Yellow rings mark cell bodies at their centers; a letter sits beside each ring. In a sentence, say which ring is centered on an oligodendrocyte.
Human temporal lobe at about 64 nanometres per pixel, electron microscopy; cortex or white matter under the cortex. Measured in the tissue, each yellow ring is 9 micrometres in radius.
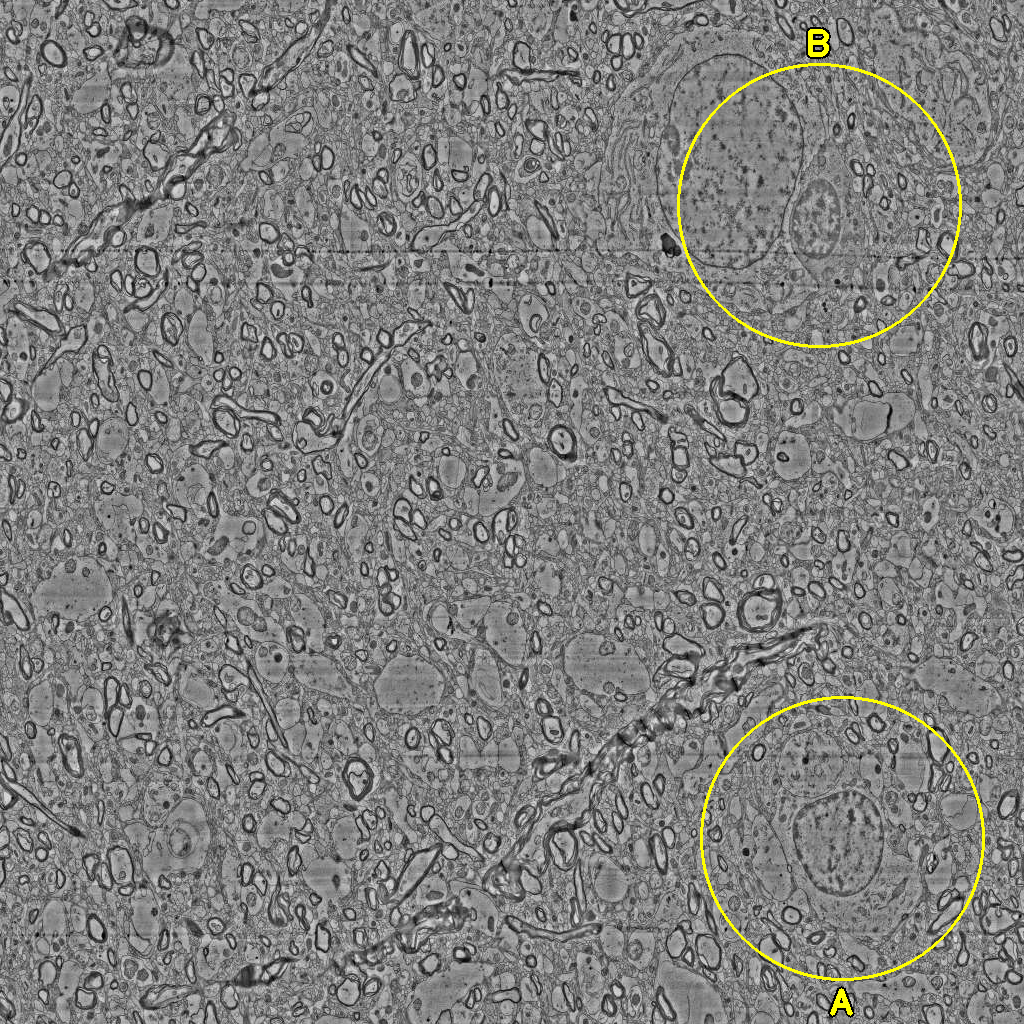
It is ring B.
